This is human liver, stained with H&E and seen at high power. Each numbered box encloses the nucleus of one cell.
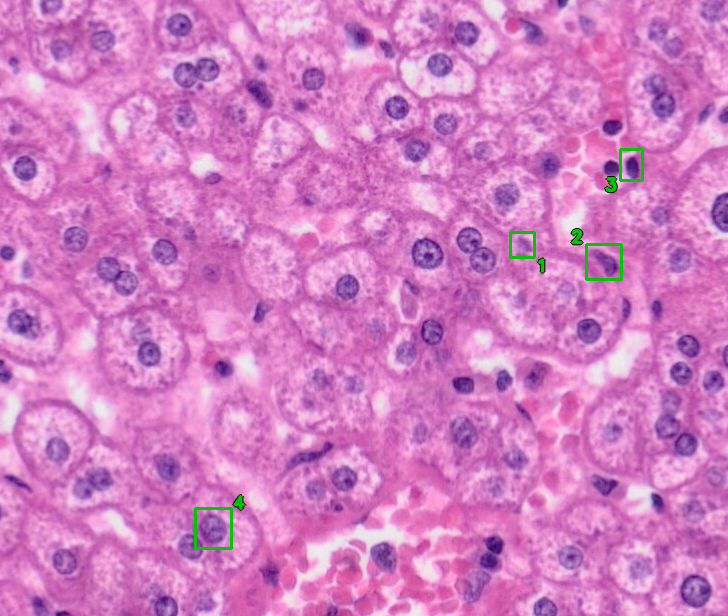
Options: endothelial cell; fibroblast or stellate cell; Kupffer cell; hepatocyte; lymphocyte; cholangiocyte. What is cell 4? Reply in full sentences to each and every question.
Cell 4 of the marked set is a hepatocyte.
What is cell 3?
Cell 3 should be recorded as a lymphocyte.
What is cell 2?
The correct answer for cell 2 is a Kupffer cell.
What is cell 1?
The numeral 1 marks a hepatocyte in this section.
